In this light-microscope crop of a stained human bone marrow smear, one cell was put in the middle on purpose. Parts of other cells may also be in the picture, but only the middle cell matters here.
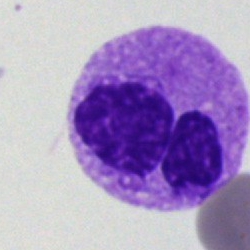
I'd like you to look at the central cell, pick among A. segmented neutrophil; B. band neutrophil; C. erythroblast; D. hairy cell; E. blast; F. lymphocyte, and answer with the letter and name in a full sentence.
The cell in the centre of the crop is a segmented neutrophil, so option A is the correct one.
